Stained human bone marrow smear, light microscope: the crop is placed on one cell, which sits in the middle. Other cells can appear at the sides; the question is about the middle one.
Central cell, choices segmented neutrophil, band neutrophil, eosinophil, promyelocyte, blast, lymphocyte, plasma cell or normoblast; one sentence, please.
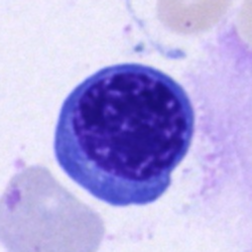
The middle of this crop holds a normoblast.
